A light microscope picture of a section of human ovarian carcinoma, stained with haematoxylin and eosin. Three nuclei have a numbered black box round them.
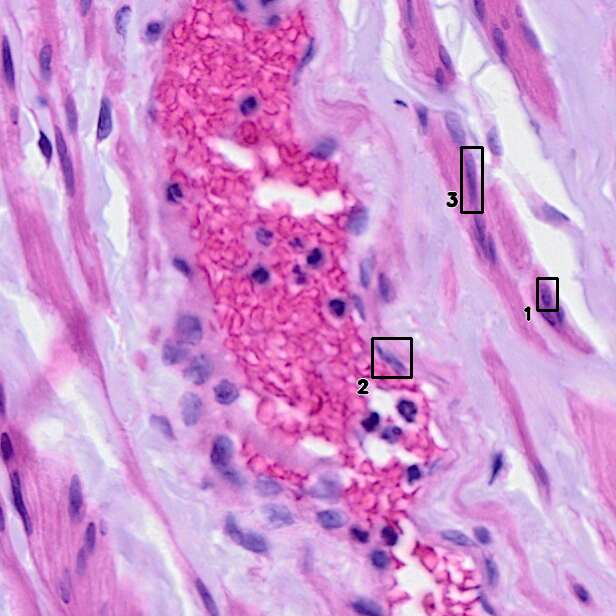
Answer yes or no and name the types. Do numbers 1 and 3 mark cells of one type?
Yes, by their numbers, cells 1 and 3 are both smooth muscle cells.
